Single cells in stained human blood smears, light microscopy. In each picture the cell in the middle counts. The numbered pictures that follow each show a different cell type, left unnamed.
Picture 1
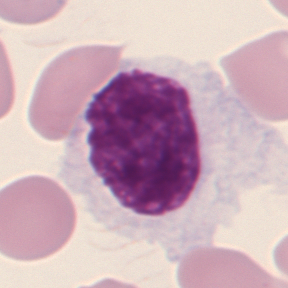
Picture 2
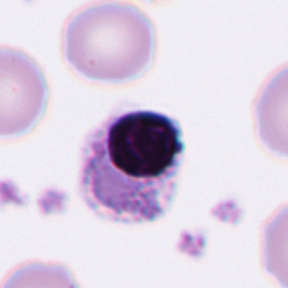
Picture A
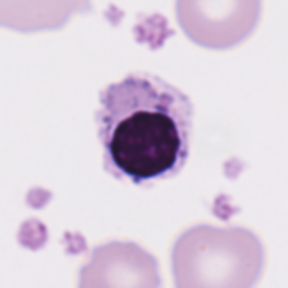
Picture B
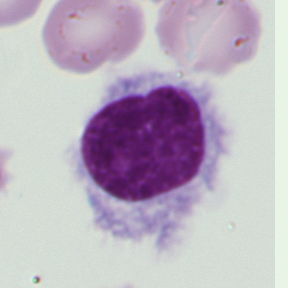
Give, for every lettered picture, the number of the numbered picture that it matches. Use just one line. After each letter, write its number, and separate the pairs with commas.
A 2, B 1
